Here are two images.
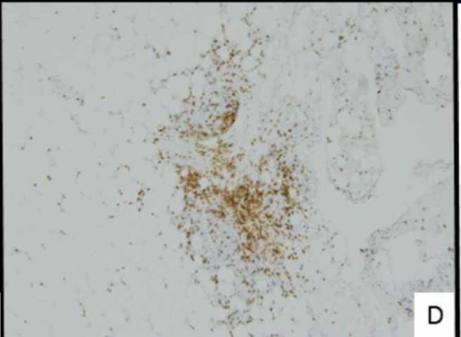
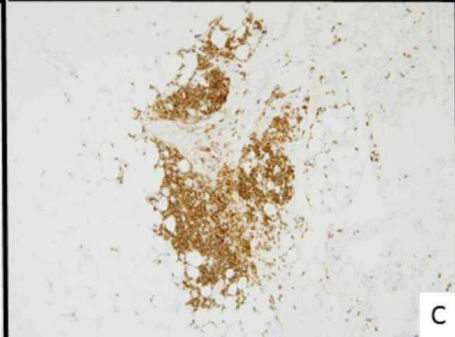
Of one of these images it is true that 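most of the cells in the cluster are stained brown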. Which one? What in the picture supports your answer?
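The second image. First image: the brown cells are scattered and sparse, with pale areas between them. Second image: the cluster is solidly and densely stained brown.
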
